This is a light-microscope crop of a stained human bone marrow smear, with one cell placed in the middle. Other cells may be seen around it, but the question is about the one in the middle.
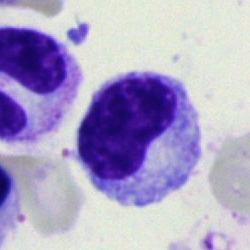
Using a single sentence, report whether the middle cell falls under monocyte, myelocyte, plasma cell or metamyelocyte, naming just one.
Looking at the middle of the crop, the cell there is a metamyelocyte.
